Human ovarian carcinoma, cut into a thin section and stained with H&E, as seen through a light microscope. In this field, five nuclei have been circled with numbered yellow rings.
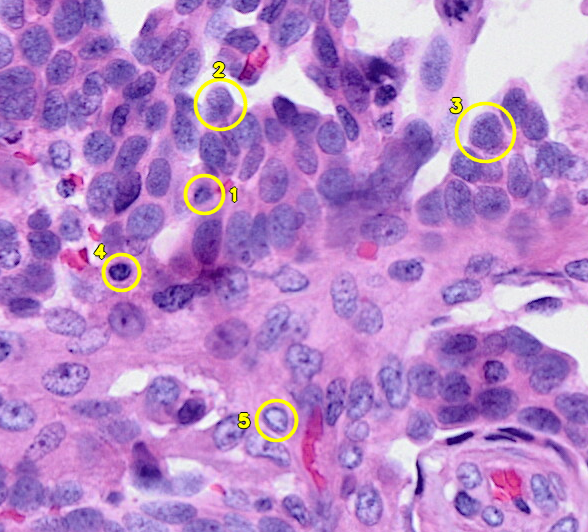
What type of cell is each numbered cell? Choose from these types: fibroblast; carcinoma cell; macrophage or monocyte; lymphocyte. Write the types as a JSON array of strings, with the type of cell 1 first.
["macrophage or monocyte", "carcinoma cell", "carcinoma cell", "lymphocyte", "fibroblast"]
